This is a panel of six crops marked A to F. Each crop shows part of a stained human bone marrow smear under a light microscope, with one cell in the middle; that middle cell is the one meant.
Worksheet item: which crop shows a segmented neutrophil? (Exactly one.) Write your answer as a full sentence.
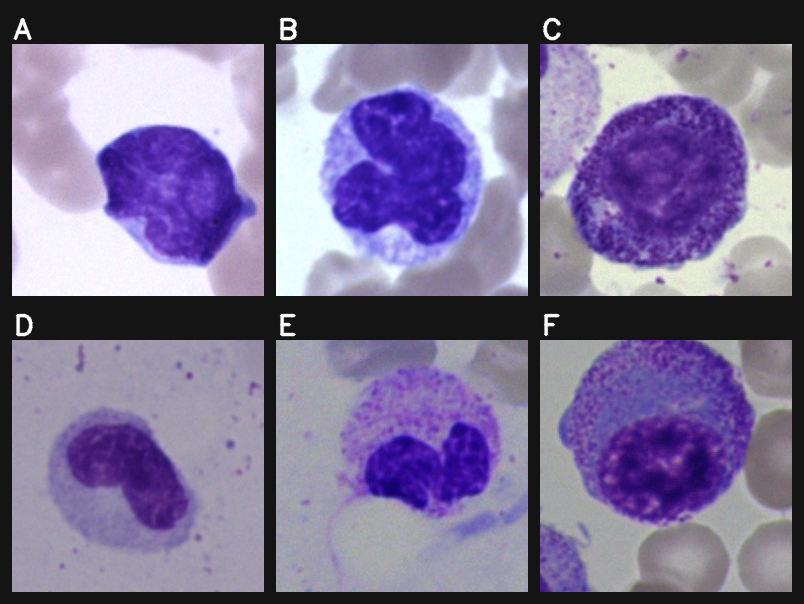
The one showing a segmented neutrophil is crop E.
